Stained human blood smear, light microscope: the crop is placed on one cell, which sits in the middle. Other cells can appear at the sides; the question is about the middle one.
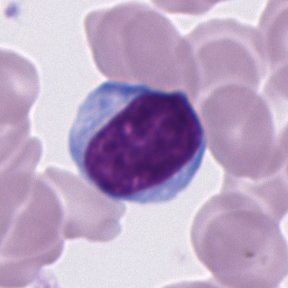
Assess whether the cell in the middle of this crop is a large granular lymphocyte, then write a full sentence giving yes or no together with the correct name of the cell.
No, it isn't a large granular lymphocyte; what sits in the middle is a typical lymphocyte.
